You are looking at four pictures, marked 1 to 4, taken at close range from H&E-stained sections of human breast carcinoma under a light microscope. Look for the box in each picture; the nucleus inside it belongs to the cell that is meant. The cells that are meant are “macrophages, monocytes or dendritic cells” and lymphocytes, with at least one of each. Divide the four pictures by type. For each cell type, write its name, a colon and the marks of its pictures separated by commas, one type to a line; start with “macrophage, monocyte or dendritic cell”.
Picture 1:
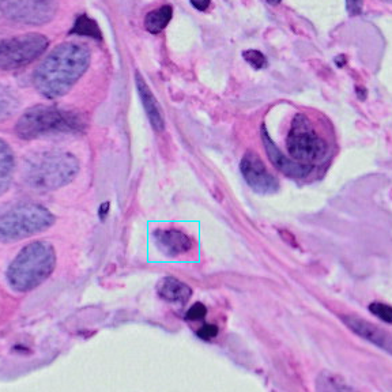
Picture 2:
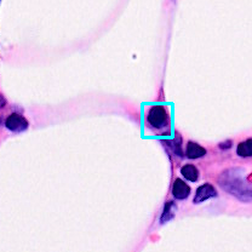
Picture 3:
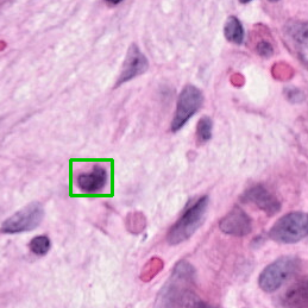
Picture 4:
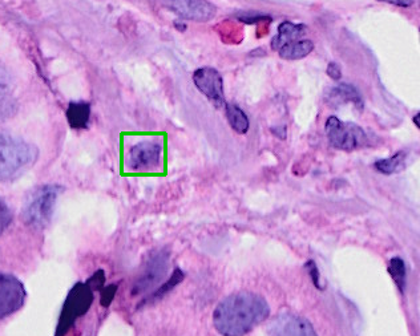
macrophage, monocyte or dendritic cell: 1, 3, 4
lymphocyte: 2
